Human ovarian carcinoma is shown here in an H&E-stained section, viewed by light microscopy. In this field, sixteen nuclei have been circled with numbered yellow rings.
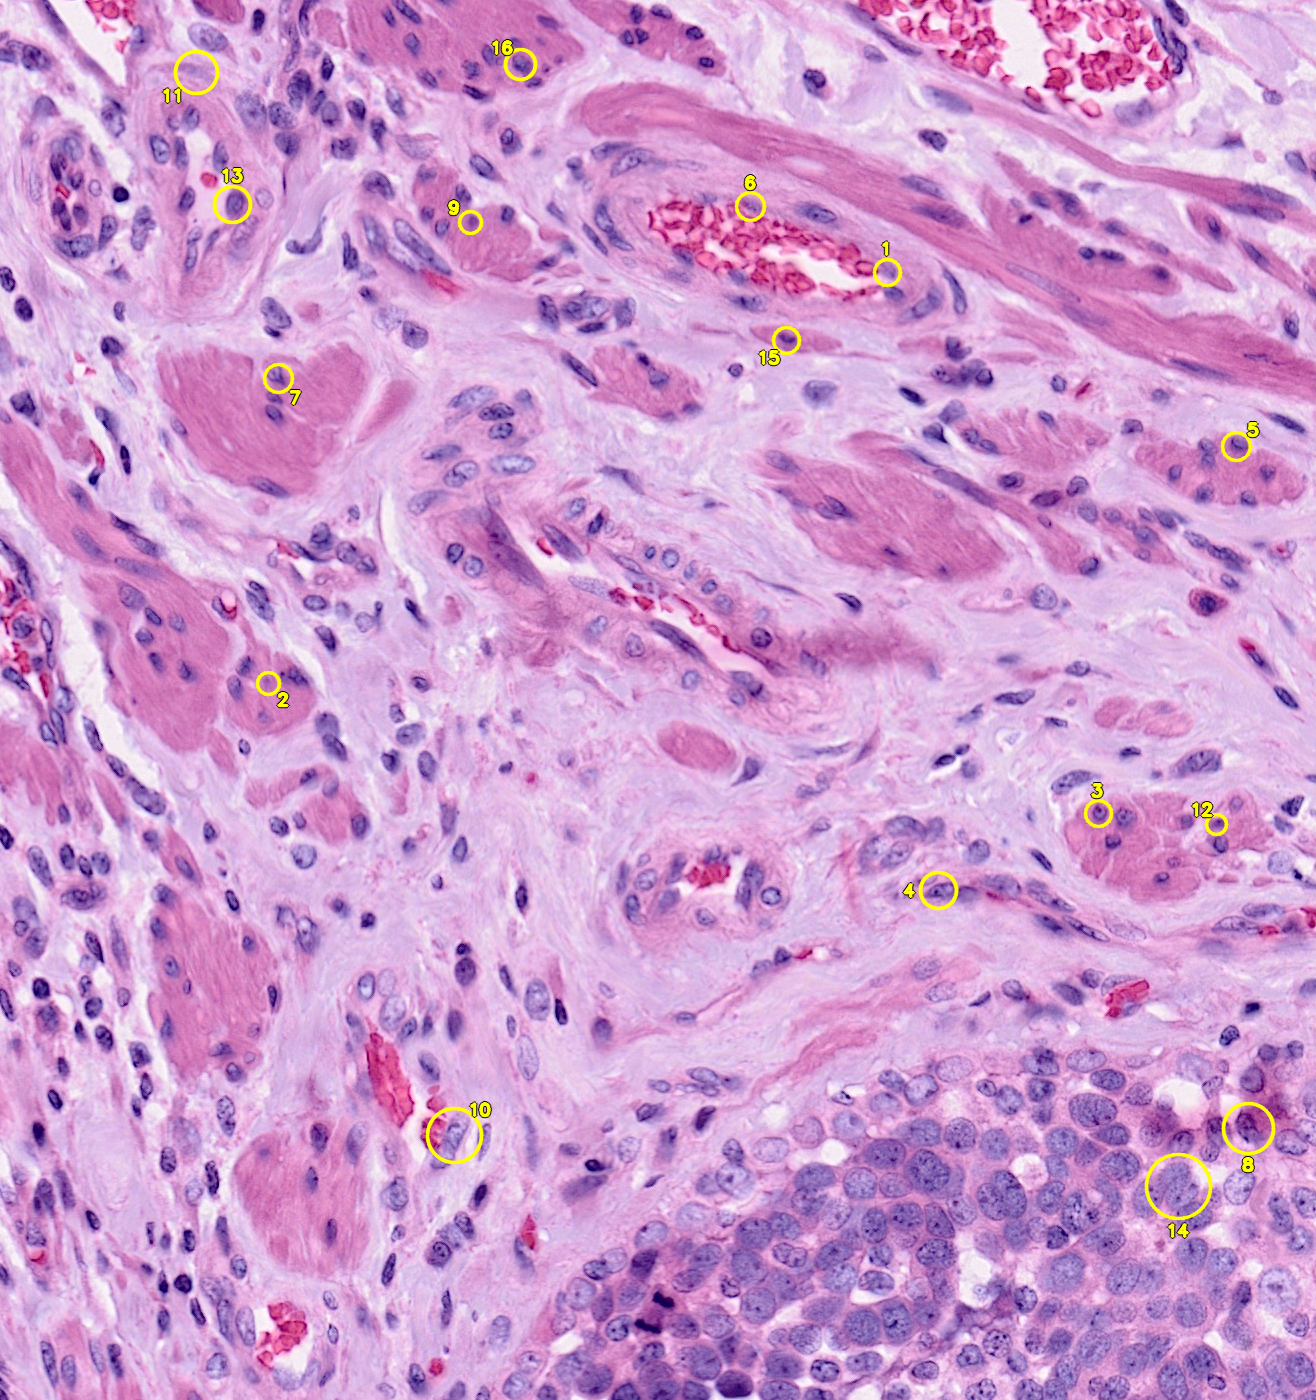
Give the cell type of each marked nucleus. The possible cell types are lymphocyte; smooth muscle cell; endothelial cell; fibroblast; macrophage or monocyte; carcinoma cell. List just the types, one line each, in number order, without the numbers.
endothelial cell
smooth muscle cell
smooth muscle cell
endothelial cell
smooth muscle cell
endothelial cell
smooth muscle cell
macrophage or monocyte
smooth muscle cell
endothelial cell
fibroblast
smooth muscle cell
endothelial cell
carcinoma cell
smooth muscle cell
smooth muscle cell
